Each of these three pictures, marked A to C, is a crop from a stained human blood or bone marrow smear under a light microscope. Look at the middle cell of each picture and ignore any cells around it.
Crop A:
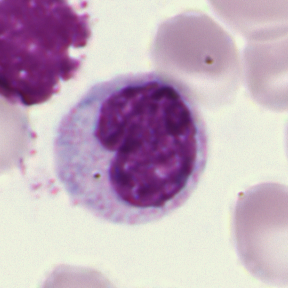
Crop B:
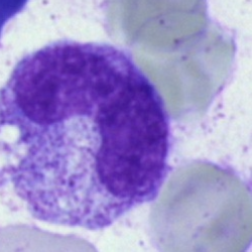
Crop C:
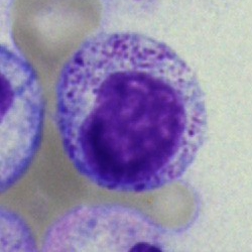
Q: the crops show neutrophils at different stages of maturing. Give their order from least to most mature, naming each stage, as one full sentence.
Increasing in maturity, the crops run crop C (a myelocyte), crop A (a metamyelocyte) and crop B (a band neutrophil).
